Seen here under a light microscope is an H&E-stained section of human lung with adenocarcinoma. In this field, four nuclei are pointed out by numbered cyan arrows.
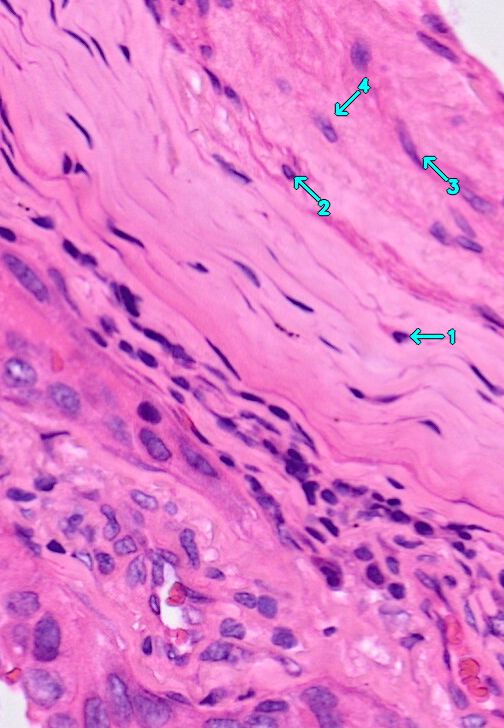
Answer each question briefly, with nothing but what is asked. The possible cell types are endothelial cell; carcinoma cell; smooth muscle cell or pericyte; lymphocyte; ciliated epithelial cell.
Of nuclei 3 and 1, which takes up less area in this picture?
1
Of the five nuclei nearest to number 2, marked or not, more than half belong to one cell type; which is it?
smooth muscle cell or pericyte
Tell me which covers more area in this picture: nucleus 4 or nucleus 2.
4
